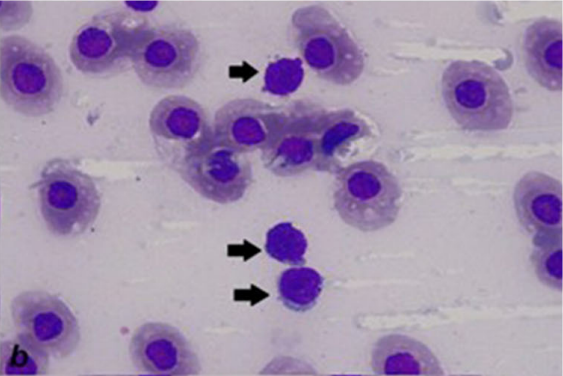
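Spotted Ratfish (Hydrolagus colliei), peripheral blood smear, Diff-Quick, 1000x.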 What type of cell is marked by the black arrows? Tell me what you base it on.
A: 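Lymphocytes. The marked cells are small and round, smaller than the red cells. Each is almost filled by a dark purple nucleus. Only a thin rim of blue cytoplasm shows.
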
